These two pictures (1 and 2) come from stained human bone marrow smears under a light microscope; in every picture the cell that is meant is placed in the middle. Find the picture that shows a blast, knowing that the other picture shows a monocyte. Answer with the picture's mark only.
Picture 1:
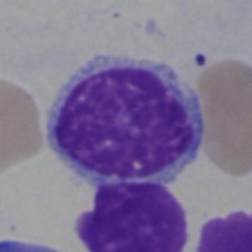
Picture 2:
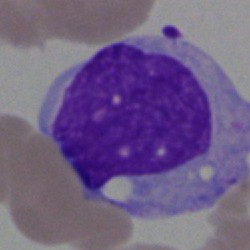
1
